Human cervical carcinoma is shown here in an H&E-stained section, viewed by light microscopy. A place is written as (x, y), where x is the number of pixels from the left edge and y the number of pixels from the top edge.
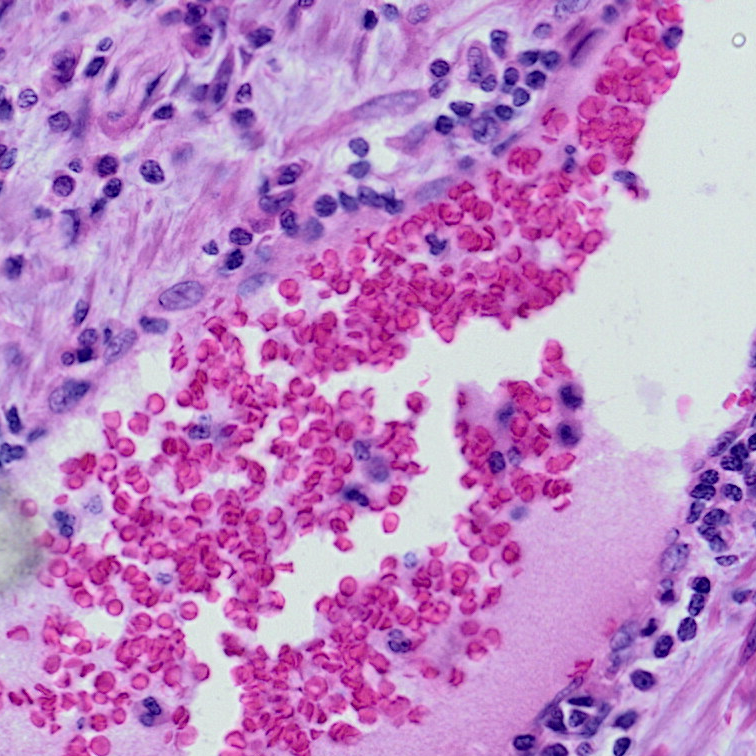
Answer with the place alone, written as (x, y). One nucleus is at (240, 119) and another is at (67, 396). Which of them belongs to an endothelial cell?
(67, 396)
